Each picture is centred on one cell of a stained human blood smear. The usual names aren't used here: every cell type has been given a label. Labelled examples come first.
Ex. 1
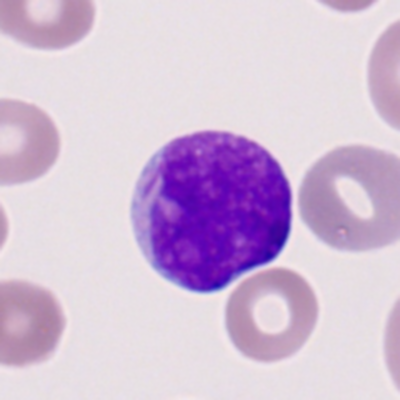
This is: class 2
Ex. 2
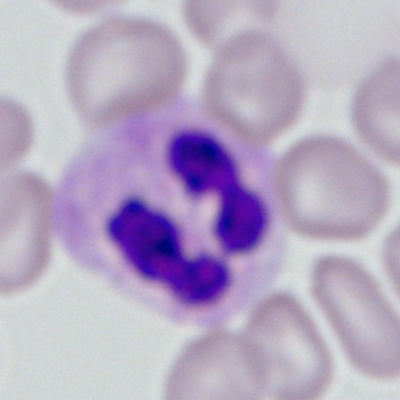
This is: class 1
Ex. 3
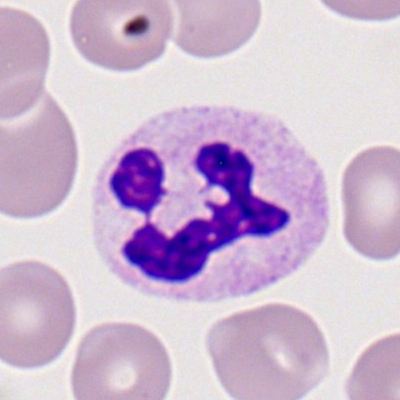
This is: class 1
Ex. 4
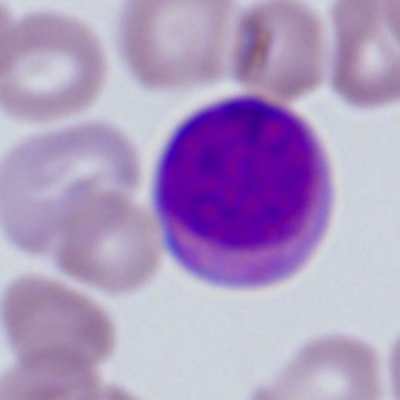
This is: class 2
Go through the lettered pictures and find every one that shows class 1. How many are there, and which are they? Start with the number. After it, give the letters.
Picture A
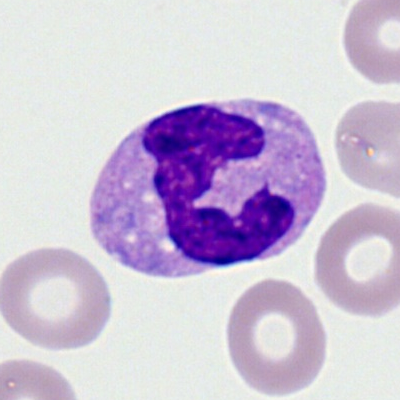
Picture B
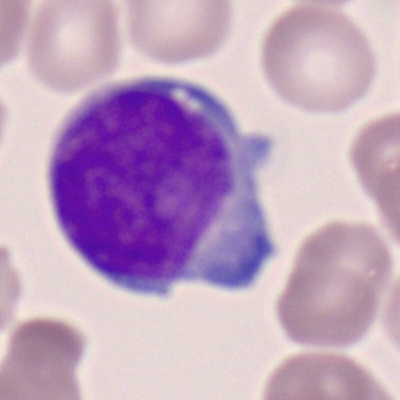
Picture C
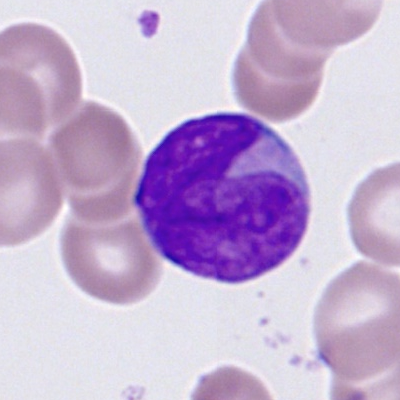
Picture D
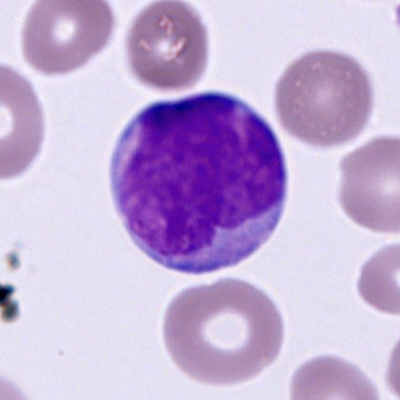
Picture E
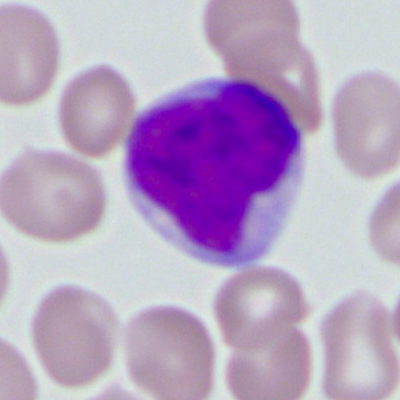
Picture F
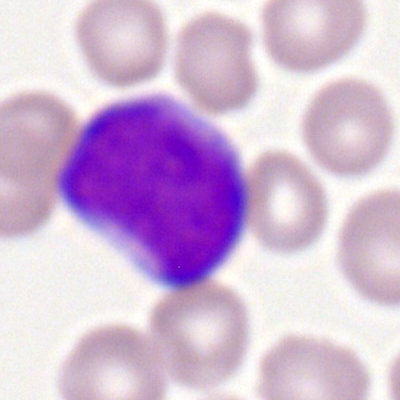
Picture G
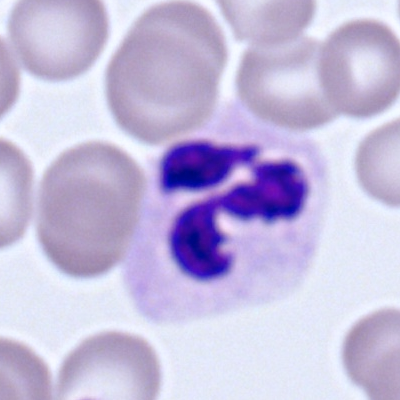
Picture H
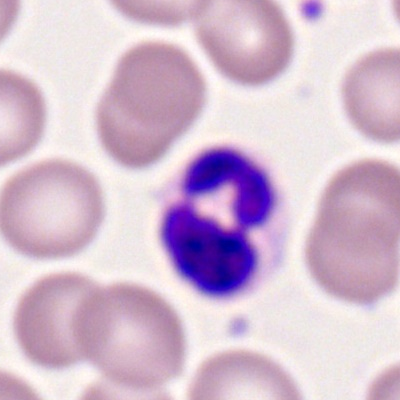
3, namely A, G, H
